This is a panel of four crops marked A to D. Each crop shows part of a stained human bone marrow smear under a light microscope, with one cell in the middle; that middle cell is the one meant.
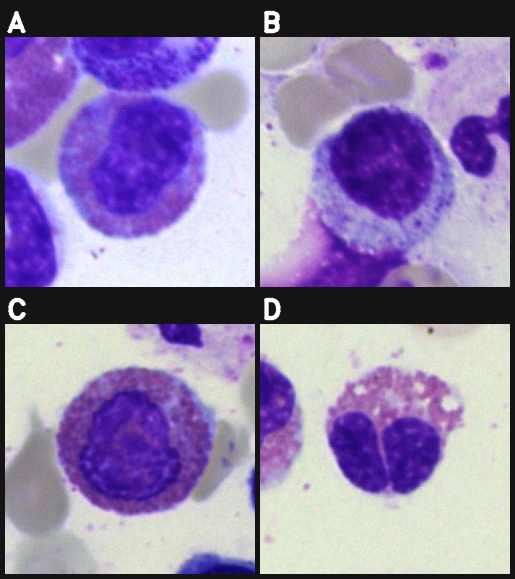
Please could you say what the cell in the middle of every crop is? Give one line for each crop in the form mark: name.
A: eosinophil
B: myelocyte
C: eosinophil
D: basophil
